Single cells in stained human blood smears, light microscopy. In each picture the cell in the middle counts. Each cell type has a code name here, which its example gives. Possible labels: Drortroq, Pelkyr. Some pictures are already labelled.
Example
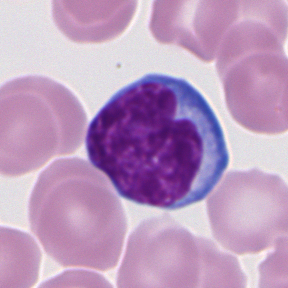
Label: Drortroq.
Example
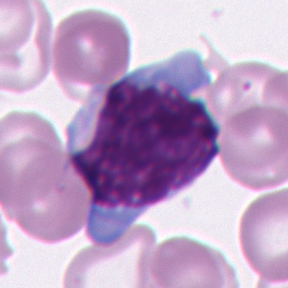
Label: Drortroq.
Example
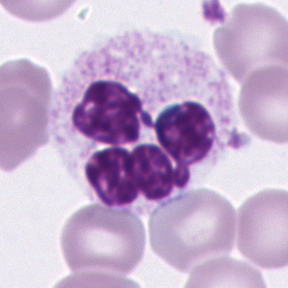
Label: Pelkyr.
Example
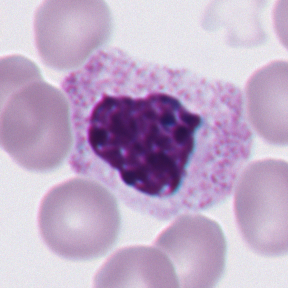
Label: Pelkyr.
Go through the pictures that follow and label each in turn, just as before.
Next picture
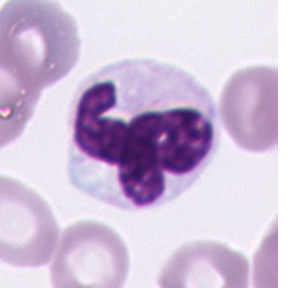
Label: Pelkyr.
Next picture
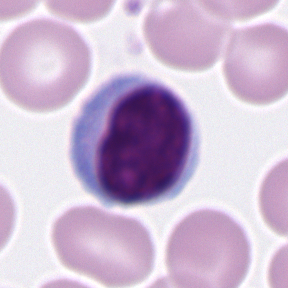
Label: Drortroq.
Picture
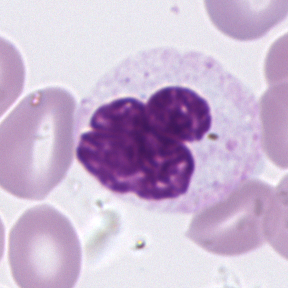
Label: Pelkyr.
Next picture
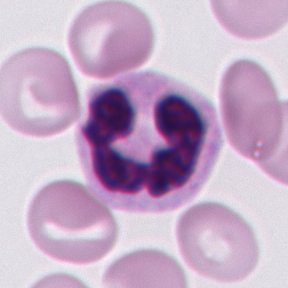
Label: Pelkyr.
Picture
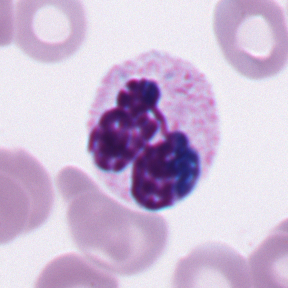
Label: Pelkyr.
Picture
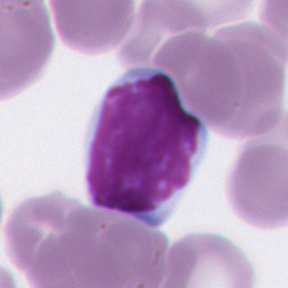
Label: Drortroq.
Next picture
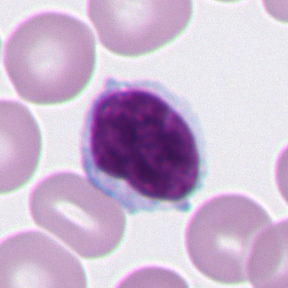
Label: Drortroq.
